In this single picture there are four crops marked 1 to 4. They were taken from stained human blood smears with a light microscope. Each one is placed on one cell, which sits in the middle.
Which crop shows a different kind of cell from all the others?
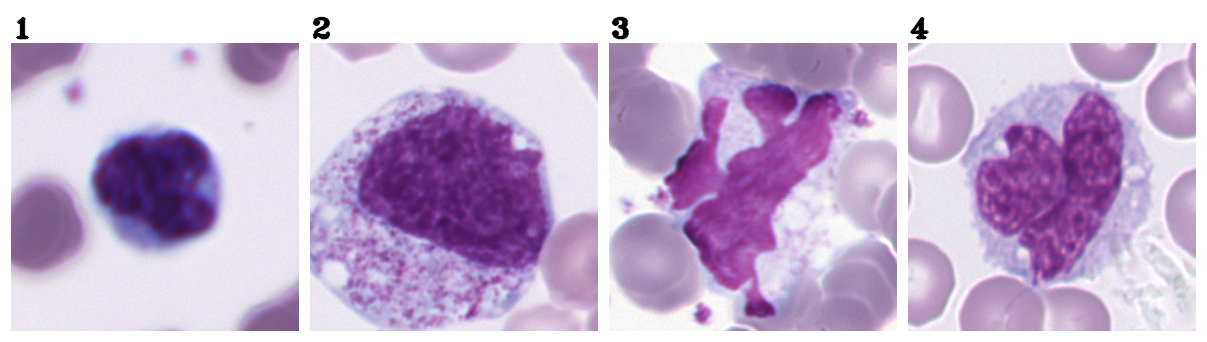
2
